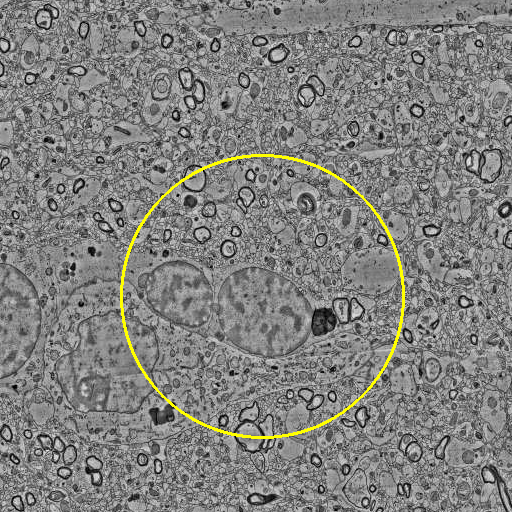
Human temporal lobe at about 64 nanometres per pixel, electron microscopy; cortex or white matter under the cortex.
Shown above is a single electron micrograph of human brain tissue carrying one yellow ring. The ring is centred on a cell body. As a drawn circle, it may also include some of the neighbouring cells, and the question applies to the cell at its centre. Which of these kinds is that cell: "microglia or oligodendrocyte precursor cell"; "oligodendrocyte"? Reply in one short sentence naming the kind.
The cell marked by the ring is an oligodendrocyte.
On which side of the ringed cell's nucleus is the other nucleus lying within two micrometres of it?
The other nucleus can be seen to the left of it.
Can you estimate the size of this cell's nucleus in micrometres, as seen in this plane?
In this plane, the nucleus of the cell at the centre of the ring measures about 6 by 5 micrometres.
